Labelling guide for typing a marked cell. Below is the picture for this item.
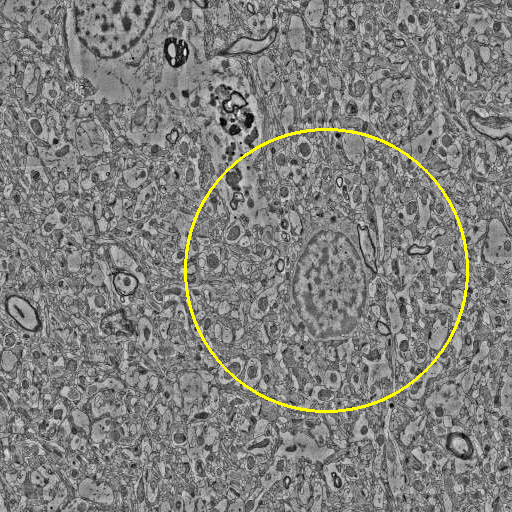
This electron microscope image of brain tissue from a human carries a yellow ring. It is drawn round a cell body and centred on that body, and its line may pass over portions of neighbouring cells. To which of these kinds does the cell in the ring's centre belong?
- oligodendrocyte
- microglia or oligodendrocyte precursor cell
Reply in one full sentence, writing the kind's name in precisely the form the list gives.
Here we have an oligodendrocyte at the centre of the yellow ring in the picture.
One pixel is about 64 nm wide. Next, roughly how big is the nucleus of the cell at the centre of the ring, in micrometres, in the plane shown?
The nucleus appears roughly 7 by 5 micrometres in this plane.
